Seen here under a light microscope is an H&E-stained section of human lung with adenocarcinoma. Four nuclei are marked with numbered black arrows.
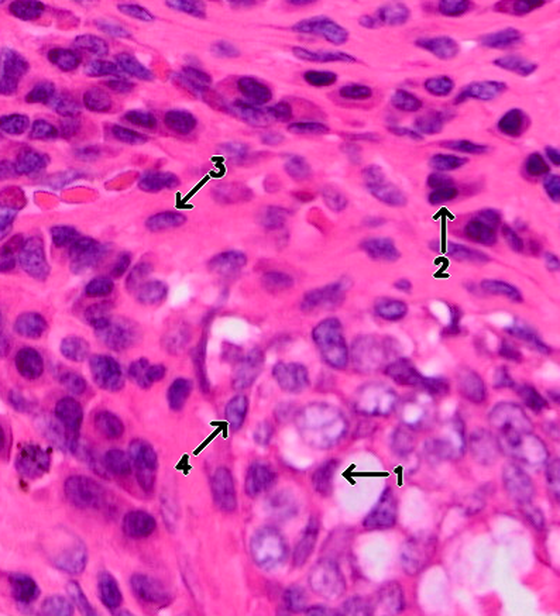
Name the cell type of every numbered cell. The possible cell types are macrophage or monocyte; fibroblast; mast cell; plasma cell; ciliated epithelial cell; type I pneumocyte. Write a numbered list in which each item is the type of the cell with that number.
1. ciliated epithelial cell
2. plasma cell
3. mast cell
4. ciliated epithelial cell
